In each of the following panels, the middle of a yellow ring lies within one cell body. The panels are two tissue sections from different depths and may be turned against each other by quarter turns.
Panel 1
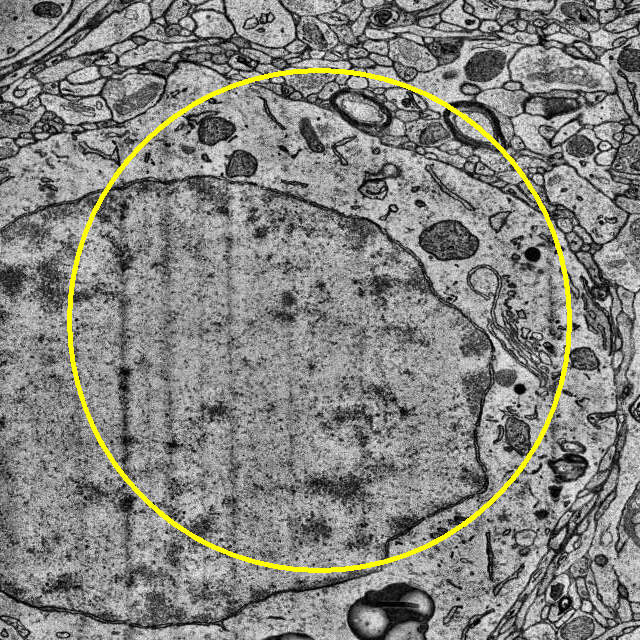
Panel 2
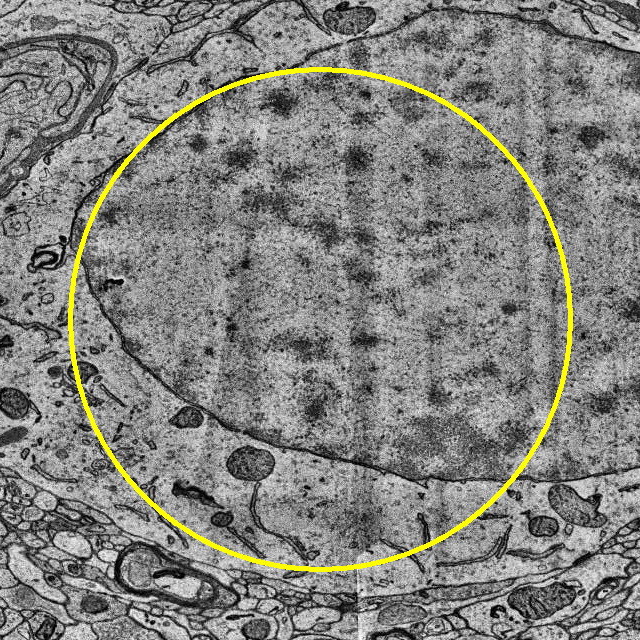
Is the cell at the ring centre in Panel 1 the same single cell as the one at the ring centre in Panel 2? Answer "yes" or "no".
yes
